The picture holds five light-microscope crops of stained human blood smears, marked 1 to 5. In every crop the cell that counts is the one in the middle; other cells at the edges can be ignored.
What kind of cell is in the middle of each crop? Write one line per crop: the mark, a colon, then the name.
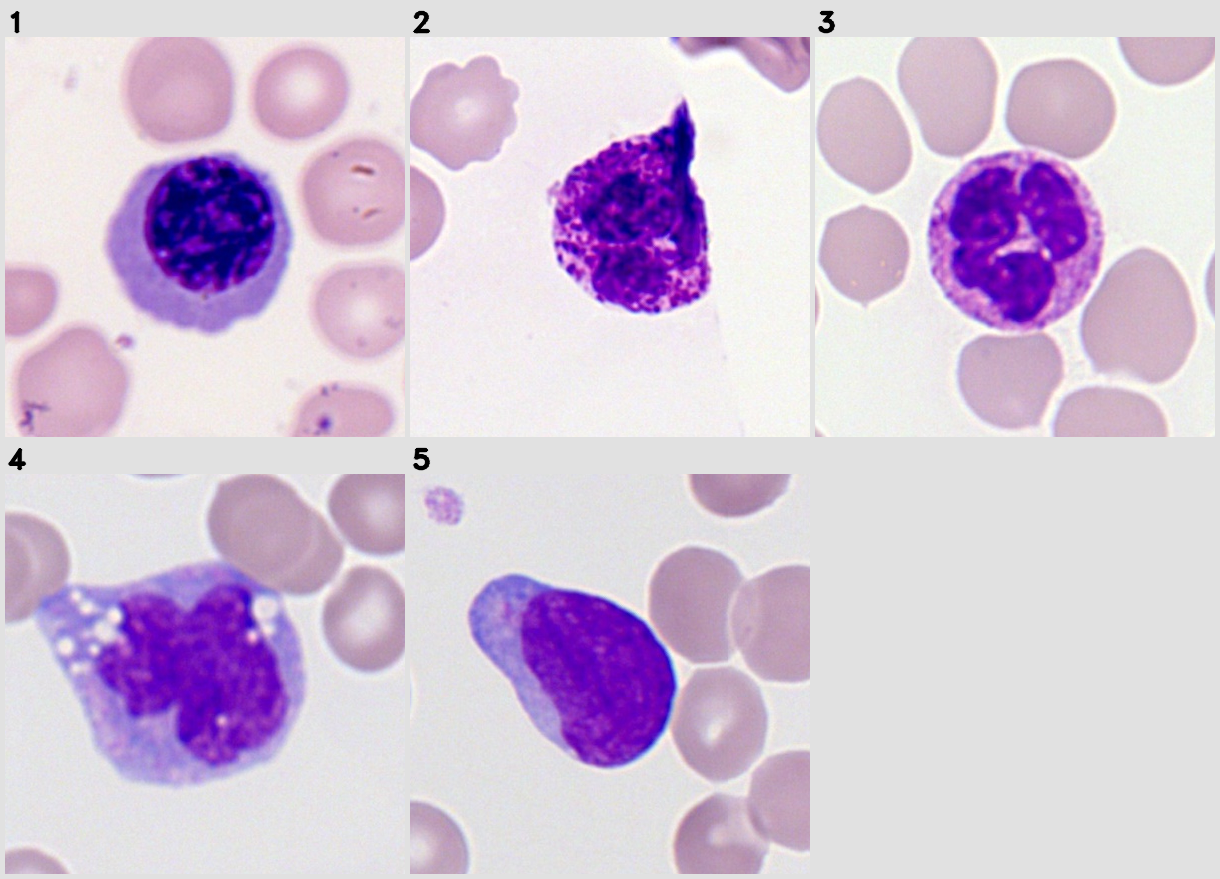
1: erythroblast
2: basophil
3: basophil
4: monocyte
5: myeloblast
